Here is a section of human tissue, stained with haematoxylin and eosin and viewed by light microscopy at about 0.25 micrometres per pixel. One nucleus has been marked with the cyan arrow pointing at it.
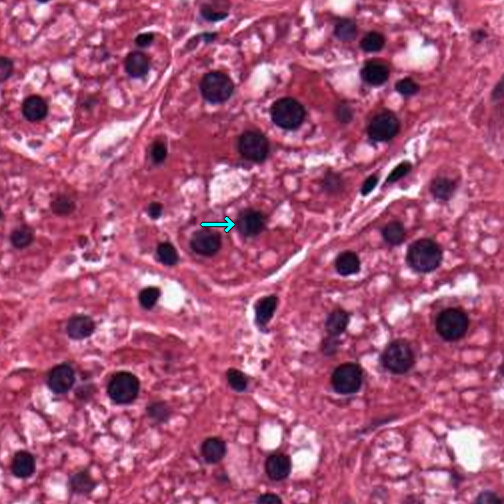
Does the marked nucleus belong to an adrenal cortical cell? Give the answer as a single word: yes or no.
yes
